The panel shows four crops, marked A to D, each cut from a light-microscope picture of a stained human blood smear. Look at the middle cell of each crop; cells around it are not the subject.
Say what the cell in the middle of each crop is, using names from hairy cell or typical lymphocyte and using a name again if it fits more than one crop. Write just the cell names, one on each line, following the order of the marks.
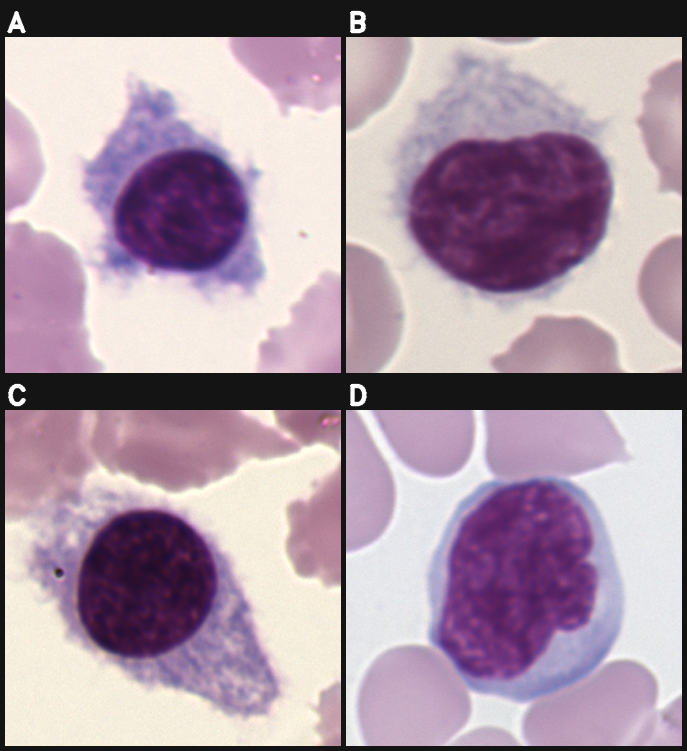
hairy cell
hairy cell
hairy cell
typical lymphocyte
